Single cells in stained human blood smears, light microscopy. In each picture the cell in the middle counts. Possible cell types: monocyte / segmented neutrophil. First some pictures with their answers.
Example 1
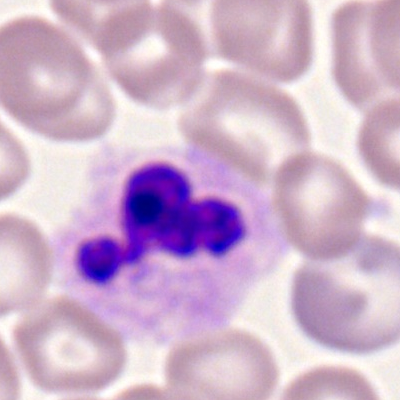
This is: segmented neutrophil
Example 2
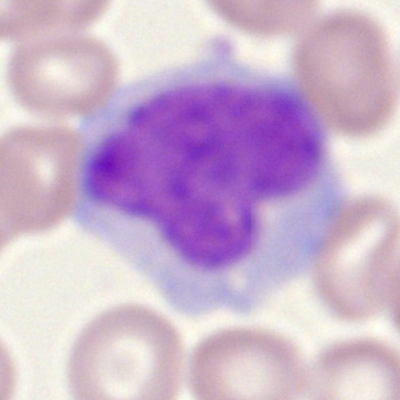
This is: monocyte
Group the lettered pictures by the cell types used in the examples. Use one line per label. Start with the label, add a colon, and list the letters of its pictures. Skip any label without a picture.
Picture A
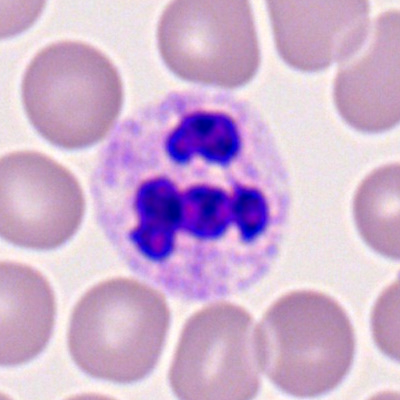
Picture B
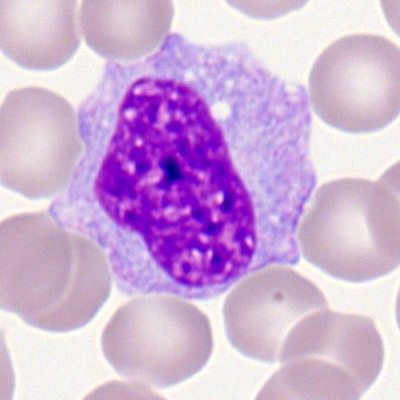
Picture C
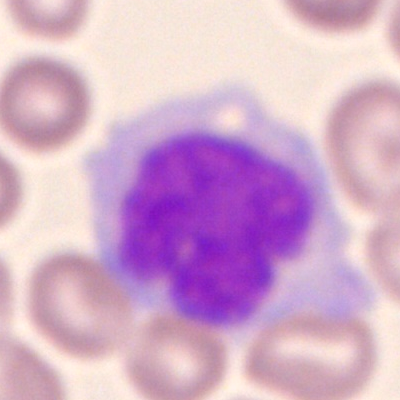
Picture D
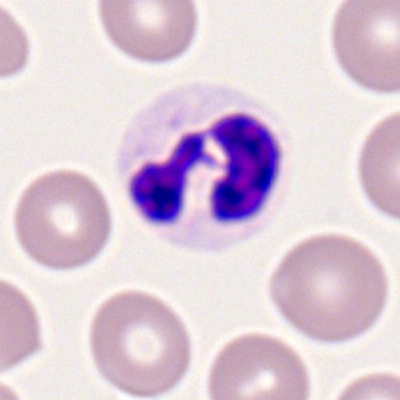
monocyte: B, C
segmented neutrophil: A, D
